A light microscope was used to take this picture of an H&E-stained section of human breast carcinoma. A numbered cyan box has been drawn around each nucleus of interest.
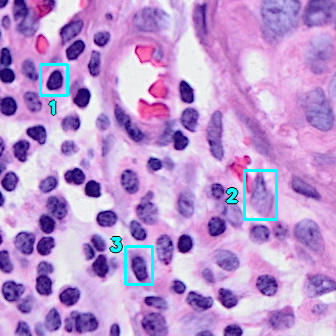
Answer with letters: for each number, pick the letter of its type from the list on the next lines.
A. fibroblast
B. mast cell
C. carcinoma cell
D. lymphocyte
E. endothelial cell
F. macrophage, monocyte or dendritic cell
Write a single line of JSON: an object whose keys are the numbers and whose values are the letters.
{"1": "D", "2": "E", "3": "D"}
